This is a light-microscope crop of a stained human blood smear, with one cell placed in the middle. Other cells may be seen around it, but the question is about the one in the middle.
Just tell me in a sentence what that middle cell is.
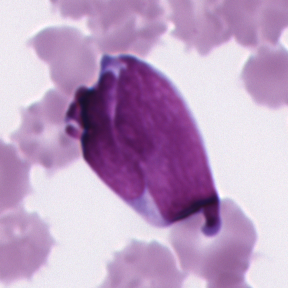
Of the cells in this crop, the central one is a blast.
